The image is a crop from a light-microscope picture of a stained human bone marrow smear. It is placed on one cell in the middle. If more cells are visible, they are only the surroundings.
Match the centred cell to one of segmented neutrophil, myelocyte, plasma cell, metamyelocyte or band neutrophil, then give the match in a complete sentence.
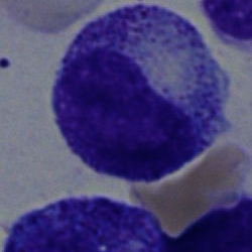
The centrally positioned cell in the crop represents a myelocyte.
